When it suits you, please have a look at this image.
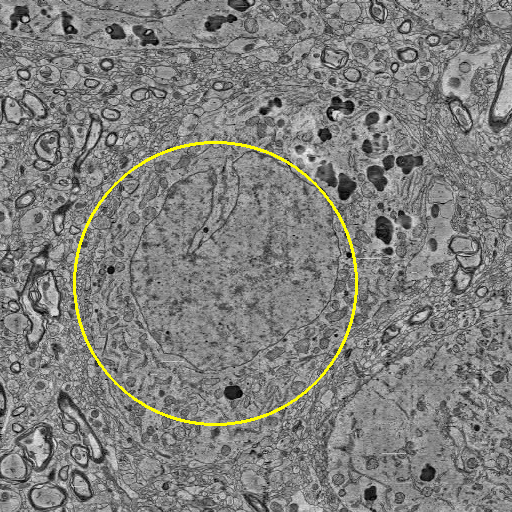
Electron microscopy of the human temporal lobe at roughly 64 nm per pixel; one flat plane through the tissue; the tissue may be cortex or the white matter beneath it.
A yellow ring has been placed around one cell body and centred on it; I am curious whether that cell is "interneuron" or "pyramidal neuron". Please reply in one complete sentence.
The ringed cell, an interneuron, has its body at the centre of the yellow ring.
